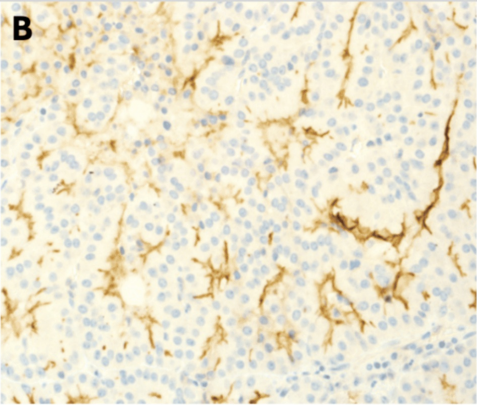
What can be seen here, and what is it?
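This is a tumor made of sheets of fairly uniform cells with round, pale blue nuclei and pale, lightly tinted cytoplasm. The brown stain does not fill the cells; instead it traces thin, branching, star-shaped profiles scattered between groups of cells, as if lining small lumens or the borders where cells meet at their surfaces. Some of these brown outlines join into longer wavy lines. The nuclei themselves stay unstained and show little variation in size, and no obvious mitotic figures stand out. The arrangement suggests small nests or acini of tumor cells grouped around tiny central spaces.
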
